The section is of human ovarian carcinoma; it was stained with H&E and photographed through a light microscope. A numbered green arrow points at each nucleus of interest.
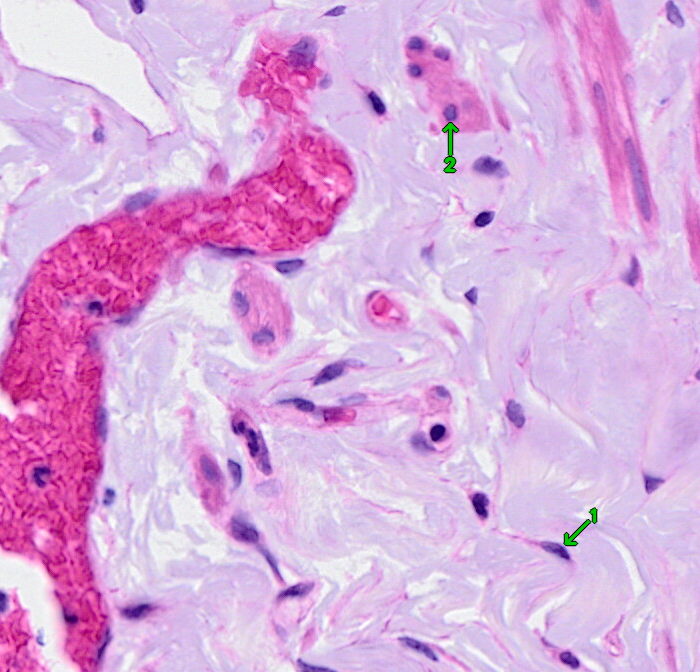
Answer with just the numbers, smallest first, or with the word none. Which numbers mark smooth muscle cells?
2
